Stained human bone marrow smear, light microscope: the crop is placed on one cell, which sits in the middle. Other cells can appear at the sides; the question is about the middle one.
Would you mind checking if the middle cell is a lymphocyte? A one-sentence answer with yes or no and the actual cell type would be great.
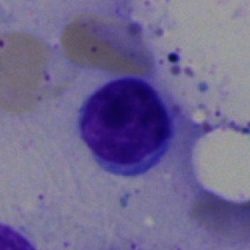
Yes, as for the central cell, it is a lymphocyte.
